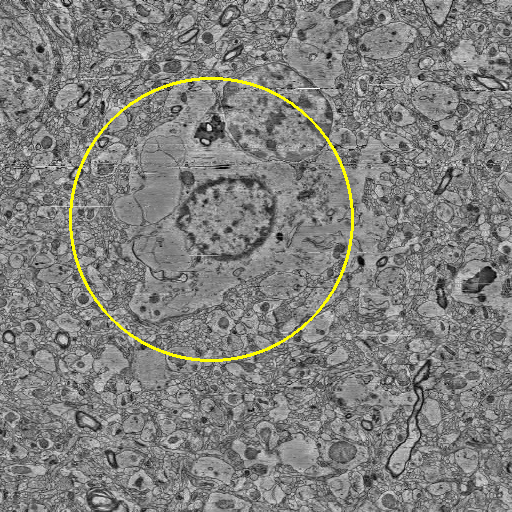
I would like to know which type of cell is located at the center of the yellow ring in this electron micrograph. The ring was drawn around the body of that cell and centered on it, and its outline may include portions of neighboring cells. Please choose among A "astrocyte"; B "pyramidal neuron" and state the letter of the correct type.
A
